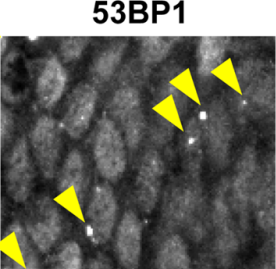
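The nuclei are elongated ovals of similar size, set in an oblique, regularly packed array. A few nuclei carry a single small, very bright dot, marked by yellow arrowheads. Most nuclei show no such dot.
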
